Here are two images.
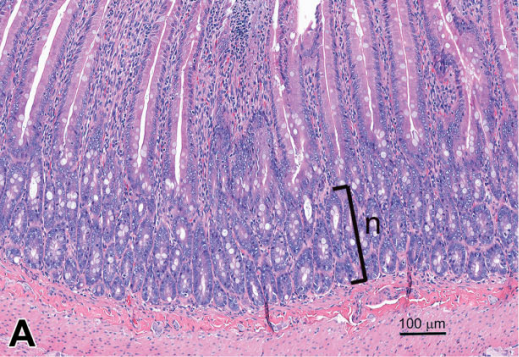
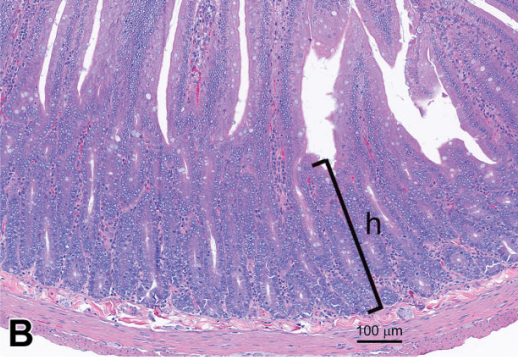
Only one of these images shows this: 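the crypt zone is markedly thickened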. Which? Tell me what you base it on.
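Second image: a tall band of crowded basophilic crypts occupies much of the mucosa. First image: the crypt band above the muscle is comparatively thin with many pale goblet cells. So: the second image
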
